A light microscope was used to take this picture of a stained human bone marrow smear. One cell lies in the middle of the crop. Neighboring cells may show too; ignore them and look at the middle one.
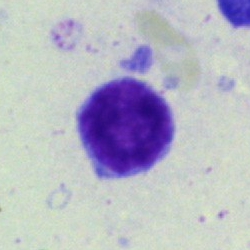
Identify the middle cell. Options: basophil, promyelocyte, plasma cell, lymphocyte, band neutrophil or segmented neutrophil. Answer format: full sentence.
The cell in the middle of the field of view is a lymphocyte.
